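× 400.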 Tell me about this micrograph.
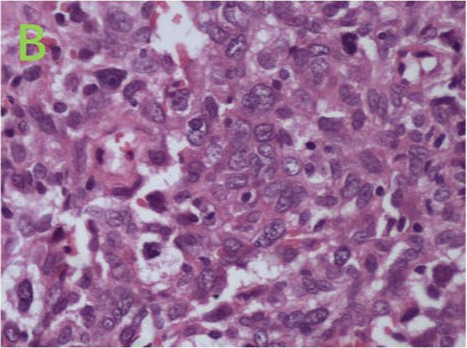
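At high power this is a densely cellular lesion of closely packed ovoid to polygonal cells showing marked atypia. The nuclei are large and vary considerably in size and shape, some round, some irregular, and several are dark and hyperchromatic while others are paler with coarse chromatin and distinct nucleoli. The cells have moderate amounts of pink cytoplasm with indistinct borders. Small thin-walled vascular spaces and clefts lie between the cells.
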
